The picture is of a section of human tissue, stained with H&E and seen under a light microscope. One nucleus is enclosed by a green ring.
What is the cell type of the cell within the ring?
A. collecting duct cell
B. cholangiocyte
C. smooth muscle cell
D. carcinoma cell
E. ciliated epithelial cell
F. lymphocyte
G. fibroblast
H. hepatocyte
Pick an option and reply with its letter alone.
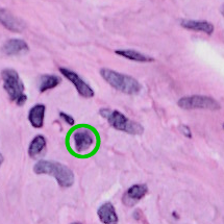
G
